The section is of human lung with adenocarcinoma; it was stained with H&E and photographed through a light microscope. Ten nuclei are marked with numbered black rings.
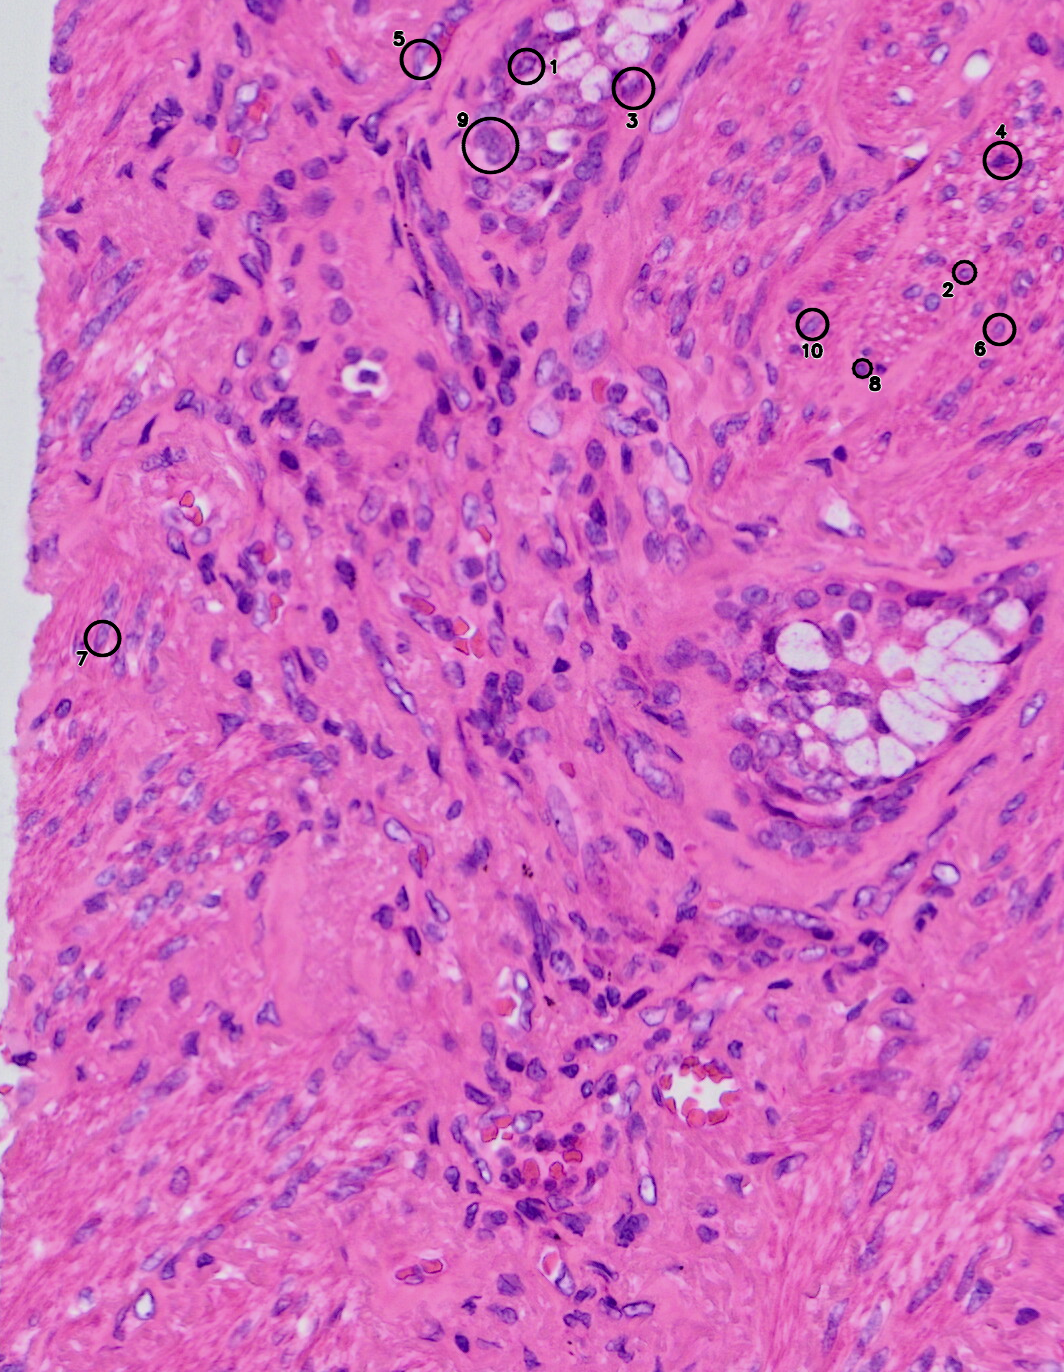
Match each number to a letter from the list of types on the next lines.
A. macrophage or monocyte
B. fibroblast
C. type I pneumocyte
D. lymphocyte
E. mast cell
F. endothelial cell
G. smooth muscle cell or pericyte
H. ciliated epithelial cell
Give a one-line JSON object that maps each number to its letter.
{"1": "H", "2": "G", "3": "H", "4": "G", "5": "F", "6": "G", "7": "G", "8": "G", "9": "H", "10": "G"}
